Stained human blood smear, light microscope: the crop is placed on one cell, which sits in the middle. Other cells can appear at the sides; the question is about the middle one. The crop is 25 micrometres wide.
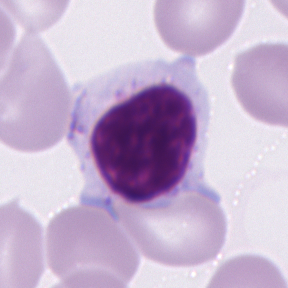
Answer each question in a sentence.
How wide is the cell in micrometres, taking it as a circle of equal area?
Taken as a circle, the cell has a diameter of about 13 micrometres.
